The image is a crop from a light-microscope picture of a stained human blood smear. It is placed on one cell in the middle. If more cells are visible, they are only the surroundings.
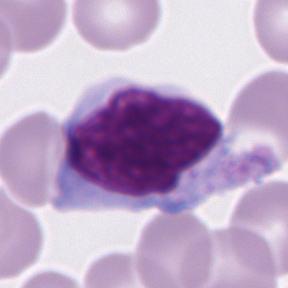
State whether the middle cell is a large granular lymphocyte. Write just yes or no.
yes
